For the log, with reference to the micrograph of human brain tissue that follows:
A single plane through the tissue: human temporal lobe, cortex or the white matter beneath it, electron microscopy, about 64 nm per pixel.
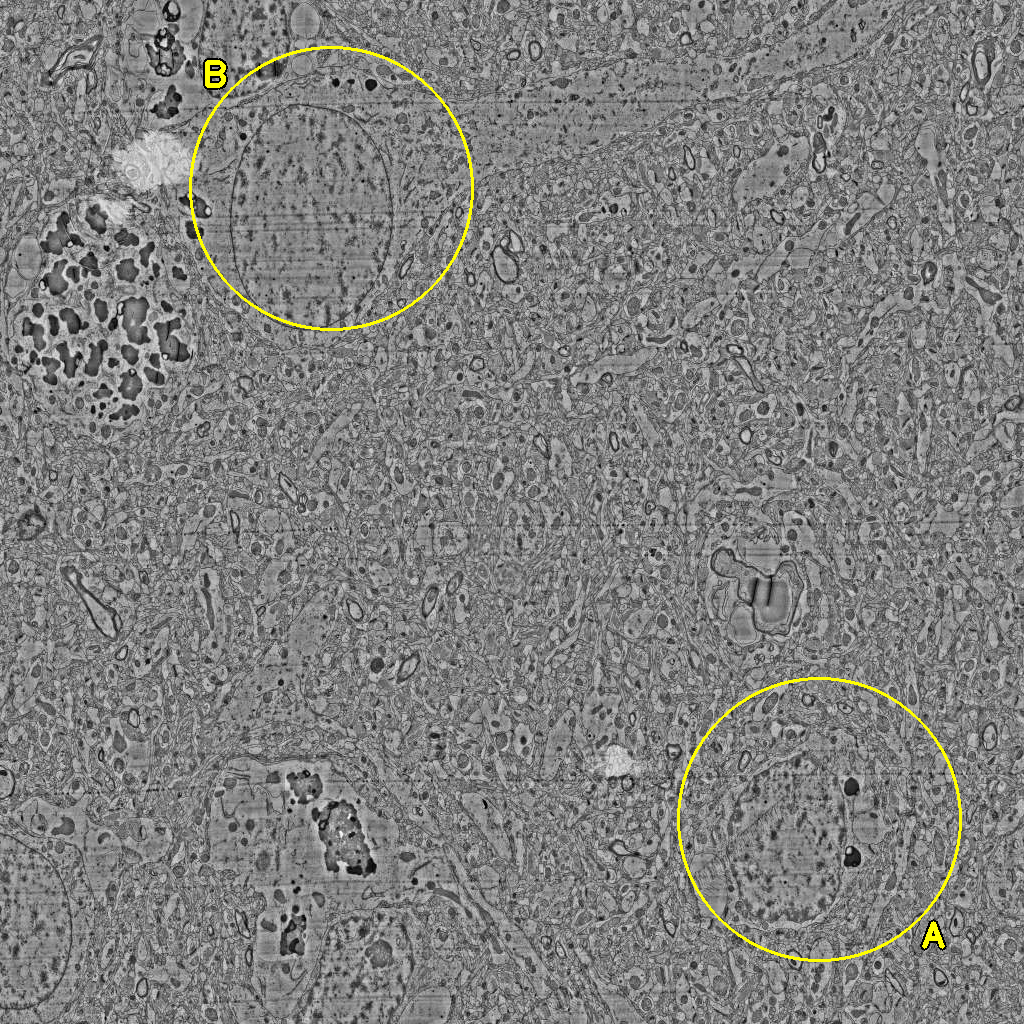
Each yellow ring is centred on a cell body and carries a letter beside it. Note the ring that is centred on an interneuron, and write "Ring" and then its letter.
Ring A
